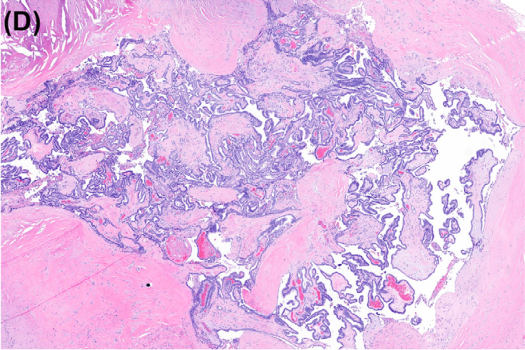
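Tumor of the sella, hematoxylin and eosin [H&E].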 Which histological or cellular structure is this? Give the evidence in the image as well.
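Many branching finger-like fronds lined by purple epithelium project into clear spaces. Fronds have pink fibrovascular cores. Dense pink stroma surrounds the lesion.
Answer: papillary architecture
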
